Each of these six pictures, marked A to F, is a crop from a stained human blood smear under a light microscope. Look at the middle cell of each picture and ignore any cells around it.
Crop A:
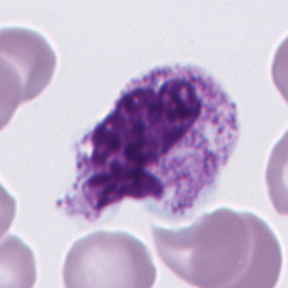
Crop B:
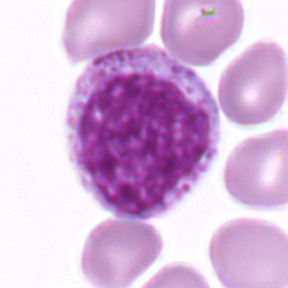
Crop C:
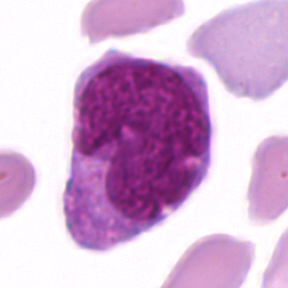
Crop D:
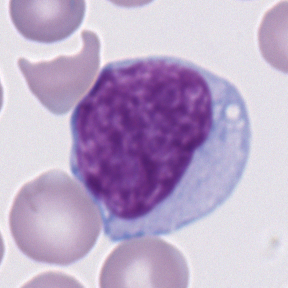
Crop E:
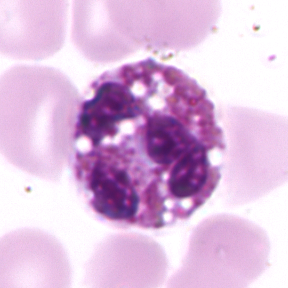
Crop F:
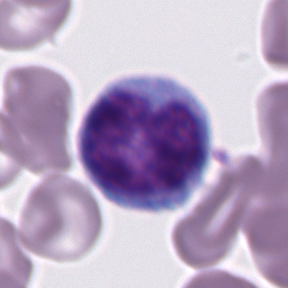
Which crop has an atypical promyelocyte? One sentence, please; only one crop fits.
Crop C, of the crops presented, is the one showing an atypical promyelocyte.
